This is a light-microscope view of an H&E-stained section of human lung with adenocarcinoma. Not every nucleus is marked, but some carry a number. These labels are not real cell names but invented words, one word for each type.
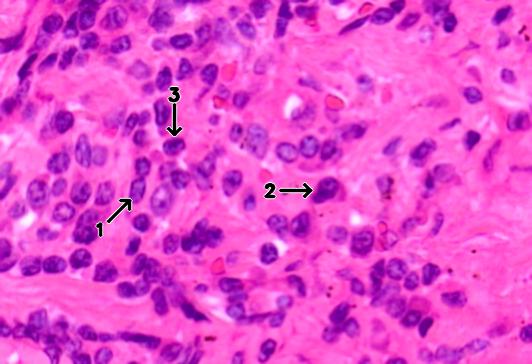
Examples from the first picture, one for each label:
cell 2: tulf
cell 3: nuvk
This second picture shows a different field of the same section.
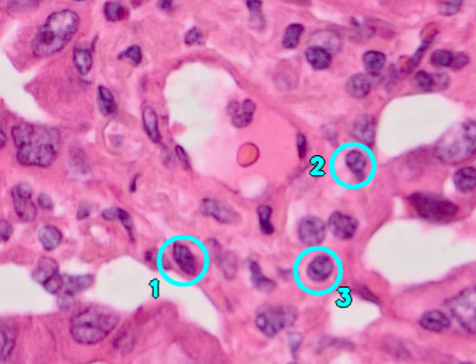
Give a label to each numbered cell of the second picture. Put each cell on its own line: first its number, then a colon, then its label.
1: tulf
2: nuvk
3: nuvk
